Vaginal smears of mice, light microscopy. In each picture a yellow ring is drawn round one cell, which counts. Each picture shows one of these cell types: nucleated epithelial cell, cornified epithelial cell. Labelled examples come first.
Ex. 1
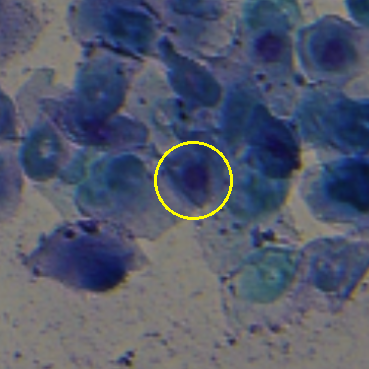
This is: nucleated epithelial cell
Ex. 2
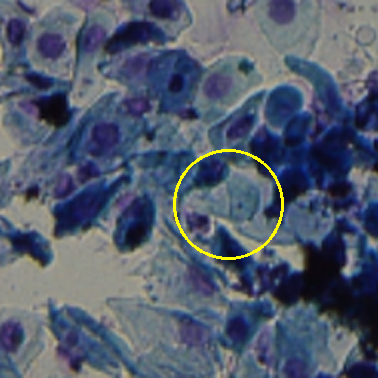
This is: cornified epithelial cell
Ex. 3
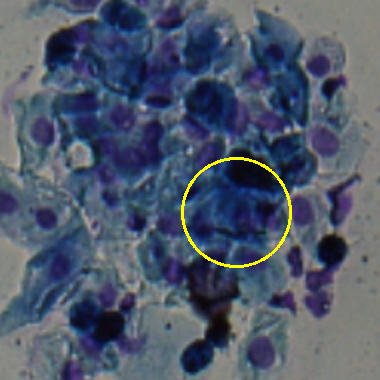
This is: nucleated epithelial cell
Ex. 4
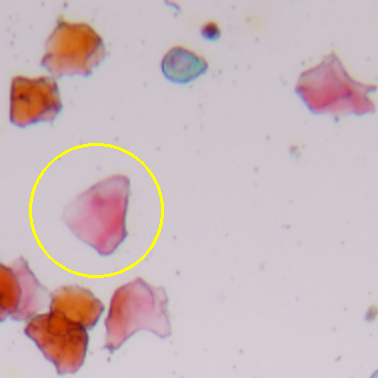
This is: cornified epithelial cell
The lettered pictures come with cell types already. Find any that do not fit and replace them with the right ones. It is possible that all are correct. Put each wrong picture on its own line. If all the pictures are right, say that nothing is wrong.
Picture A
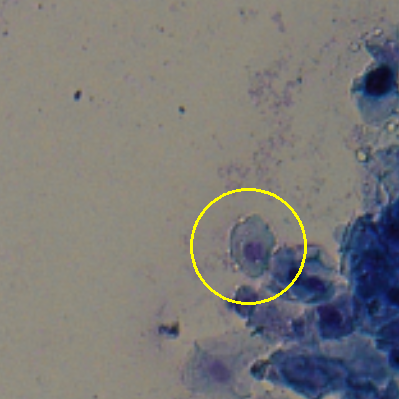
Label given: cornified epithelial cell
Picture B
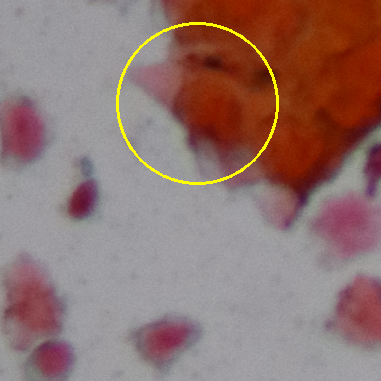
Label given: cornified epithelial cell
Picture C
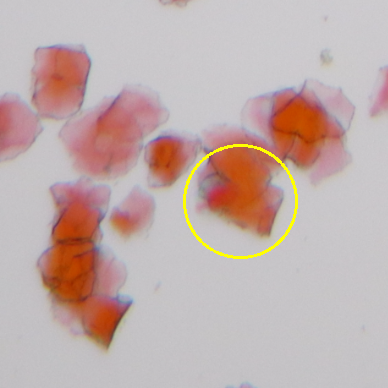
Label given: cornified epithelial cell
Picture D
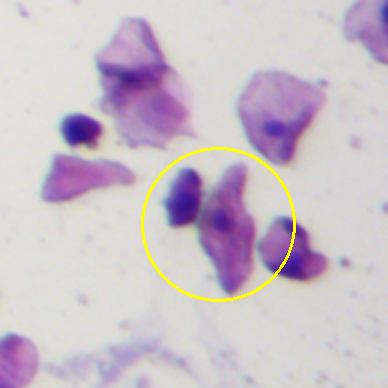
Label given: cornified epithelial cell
A is labelled cornified epithelial cell; correct label: nucleated epithelial cell
D is labelled cornified epithelial cell; correct label: nucleated epithelial cell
